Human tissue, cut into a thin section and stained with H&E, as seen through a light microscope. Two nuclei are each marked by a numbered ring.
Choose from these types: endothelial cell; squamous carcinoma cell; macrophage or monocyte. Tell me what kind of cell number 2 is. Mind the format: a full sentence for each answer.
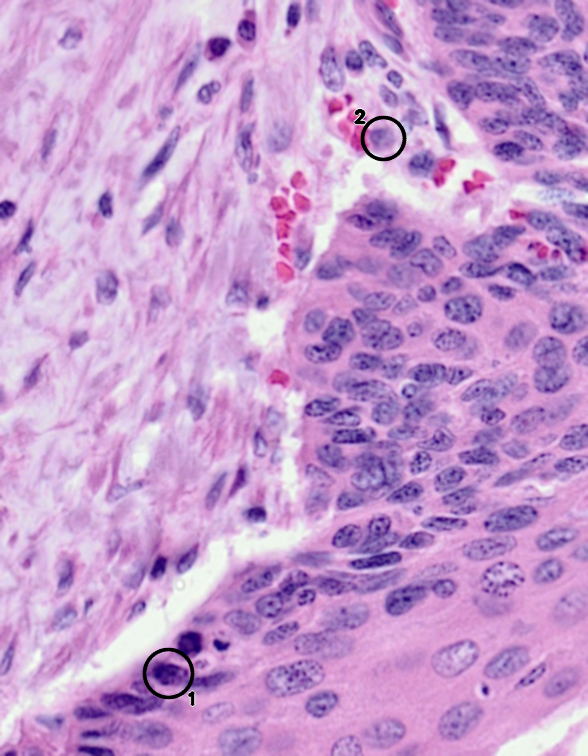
Denoted by the label 2 in the section is an endothelial cell.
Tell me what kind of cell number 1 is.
Among the marked nuclei, number 1 belongs to a squamous carcinoma cell.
